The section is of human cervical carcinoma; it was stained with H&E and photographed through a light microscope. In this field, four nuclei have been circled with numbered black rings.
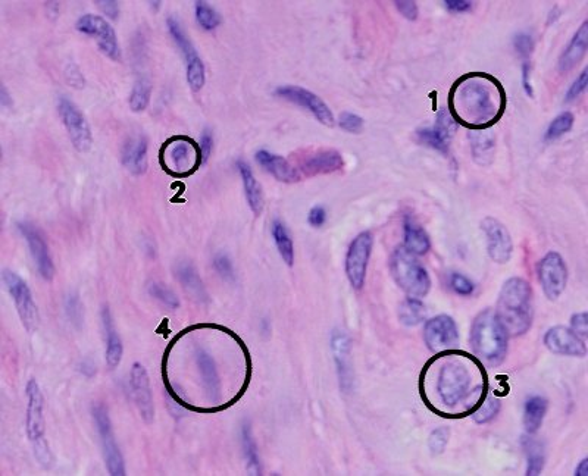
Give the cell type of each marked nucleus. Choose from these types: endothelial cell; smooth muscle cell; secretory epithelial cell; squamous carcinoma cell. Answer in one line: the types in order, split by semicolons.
endothelial cell; smooth muscle cell; endothelial cell; smooth muscle cell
